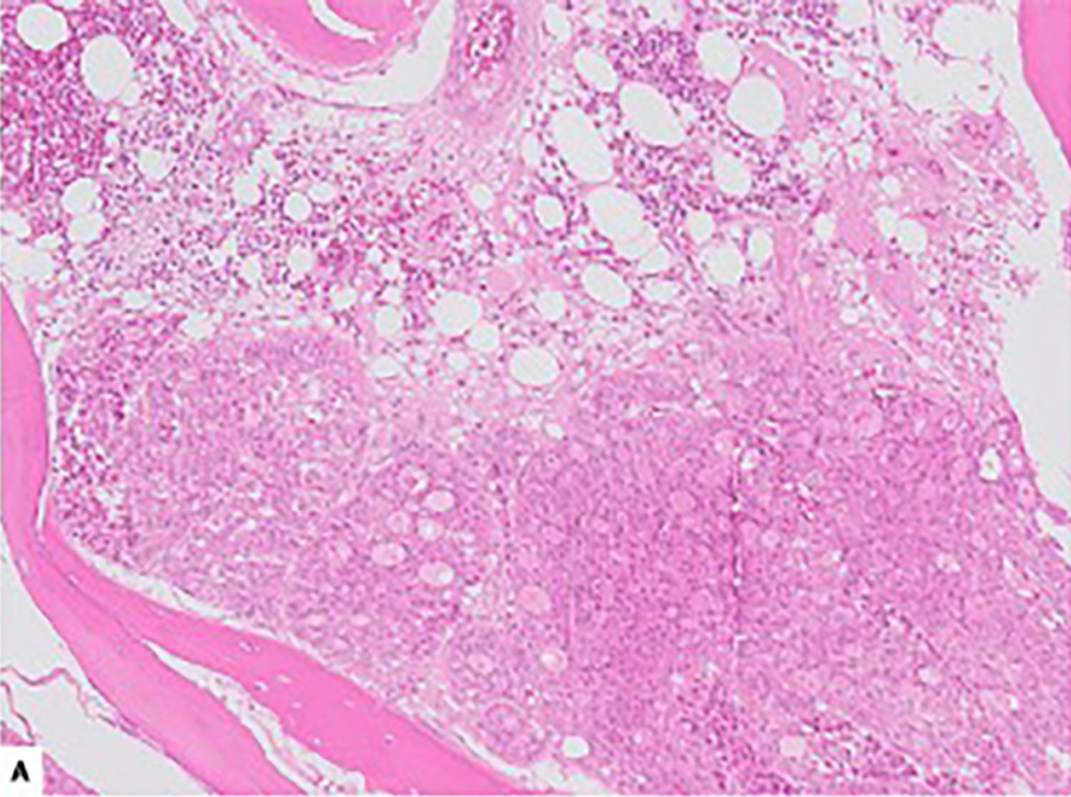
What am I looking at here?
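A bone fragment in which the marrow space is infiltrated by a neoplastic proliferation arranged in follicles. Bright pink bony trabeculae frame the field on the left and at the bottom. The upper part still holds marrow, with many round empty fat vacuoles among small dark hematopoietic cells. Below this, a dense sheet of tumour cells replaces the marrow. Thin fibrous septa divide the tumour into nodular lobules.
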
